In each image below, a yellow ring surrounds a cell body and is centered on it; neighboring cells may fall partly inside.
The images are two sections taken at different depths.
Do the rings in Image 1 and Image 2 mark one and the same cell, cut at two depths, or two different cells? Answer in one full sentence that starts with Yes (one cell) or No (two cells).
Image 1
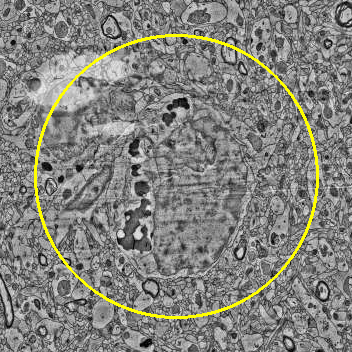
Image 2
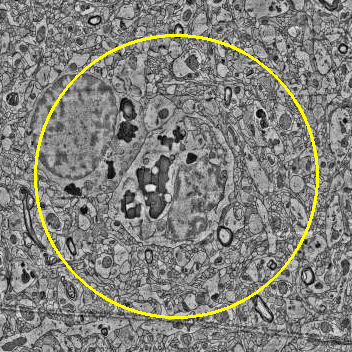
Yes, one cell appears twice, once in each ring.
